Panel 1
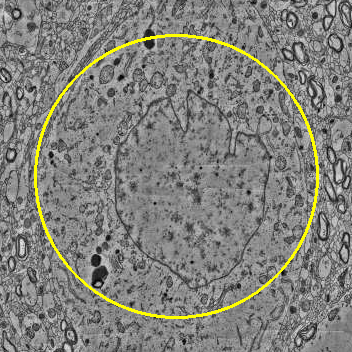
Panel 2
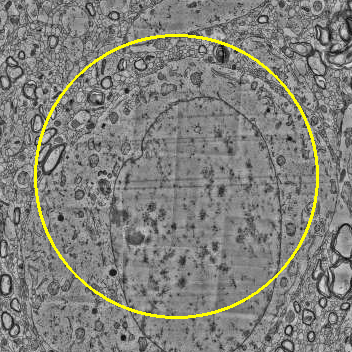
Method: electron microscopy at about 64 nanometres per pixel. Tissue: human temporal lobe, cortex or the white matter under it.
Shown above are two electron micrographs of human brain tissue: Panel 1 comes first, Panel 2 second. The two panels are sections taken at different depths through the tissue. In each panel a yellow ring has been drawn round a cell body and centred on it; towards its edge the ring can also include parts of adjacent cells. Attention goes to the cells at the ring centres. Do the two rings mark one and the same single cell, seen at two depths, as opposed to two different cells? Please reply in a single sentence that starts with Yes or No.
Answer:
No, the two rings do not mark one cell; they mark two different cells.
